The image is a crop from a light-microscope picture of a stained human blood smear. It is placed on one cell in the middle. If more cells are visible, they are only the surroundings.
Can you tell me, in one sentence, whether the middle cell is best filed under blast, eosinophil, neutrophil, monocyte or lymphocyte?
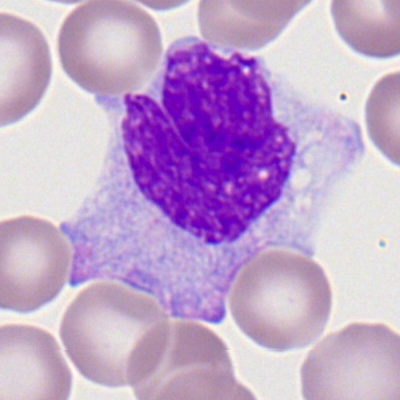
The central cell, amid any neighbouring cells, is a monocyte.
